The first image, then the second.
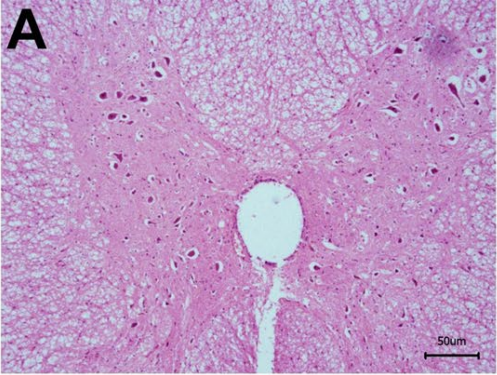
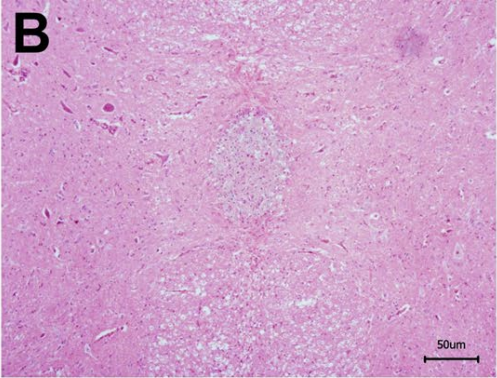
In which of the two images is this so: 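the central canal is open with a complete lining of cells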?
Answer: the first image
